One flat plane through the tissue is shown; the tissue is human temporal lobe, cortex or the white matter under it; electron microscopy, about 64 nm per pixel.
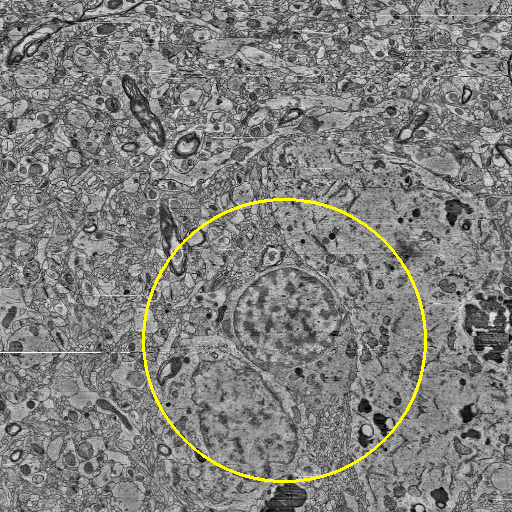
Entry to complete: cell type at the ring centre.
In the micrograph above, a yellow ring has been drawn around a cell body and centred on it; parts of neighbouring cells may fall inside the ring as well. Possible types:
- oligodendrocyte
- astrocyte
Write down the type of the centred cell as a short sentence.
The ring is centred on an oligodendrocyte.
